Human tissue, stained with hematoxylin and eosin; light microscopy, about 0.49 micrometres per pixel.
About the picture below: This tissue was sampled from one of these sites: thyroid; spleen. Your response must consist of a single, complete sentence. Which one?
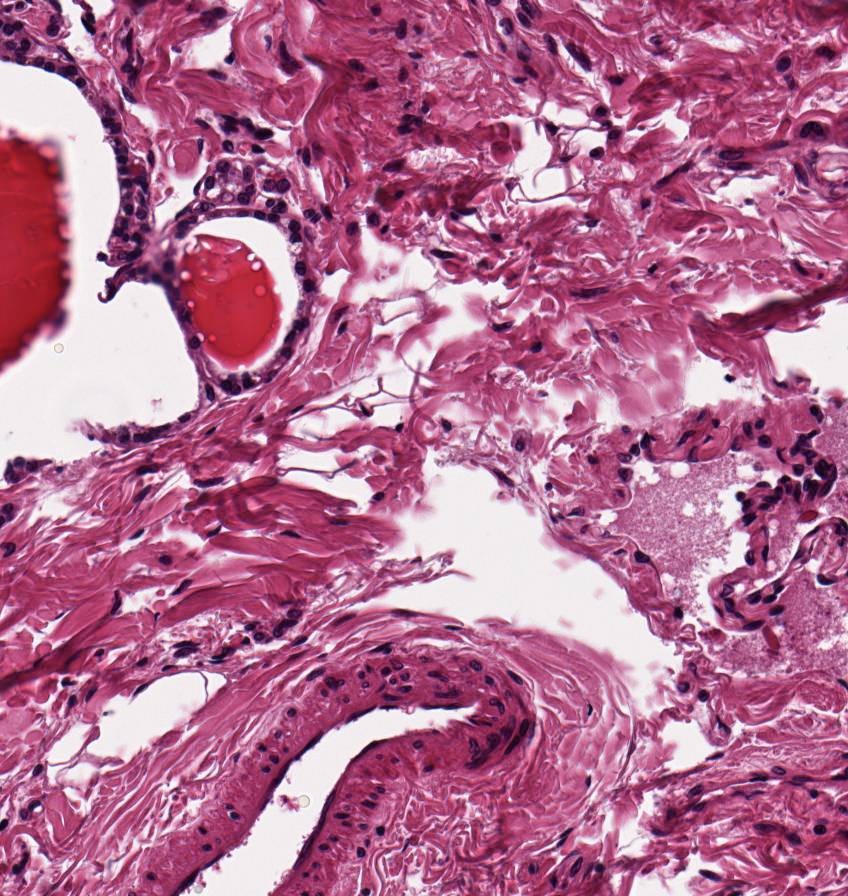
The tissue on this slide is from the thyroid.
